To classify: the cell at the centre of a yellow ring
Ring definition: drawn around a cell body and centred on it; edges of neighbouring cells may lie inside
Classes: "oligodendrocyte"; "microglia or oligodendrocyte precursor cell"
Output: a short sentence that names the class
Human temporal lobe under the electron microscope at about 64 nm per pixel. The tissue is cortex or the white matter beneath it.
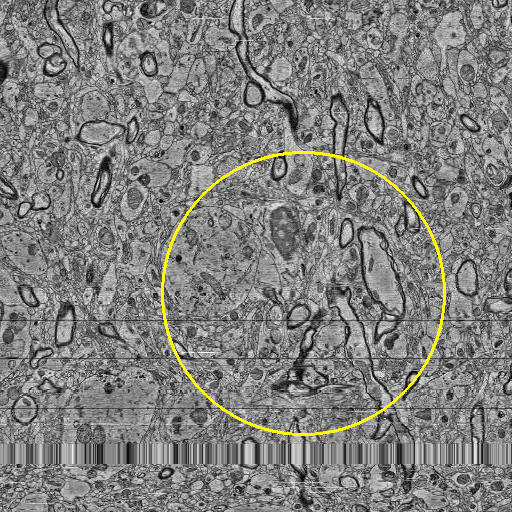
The ringed cell is a microglial cell or oligodendrocyte precursor cell.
